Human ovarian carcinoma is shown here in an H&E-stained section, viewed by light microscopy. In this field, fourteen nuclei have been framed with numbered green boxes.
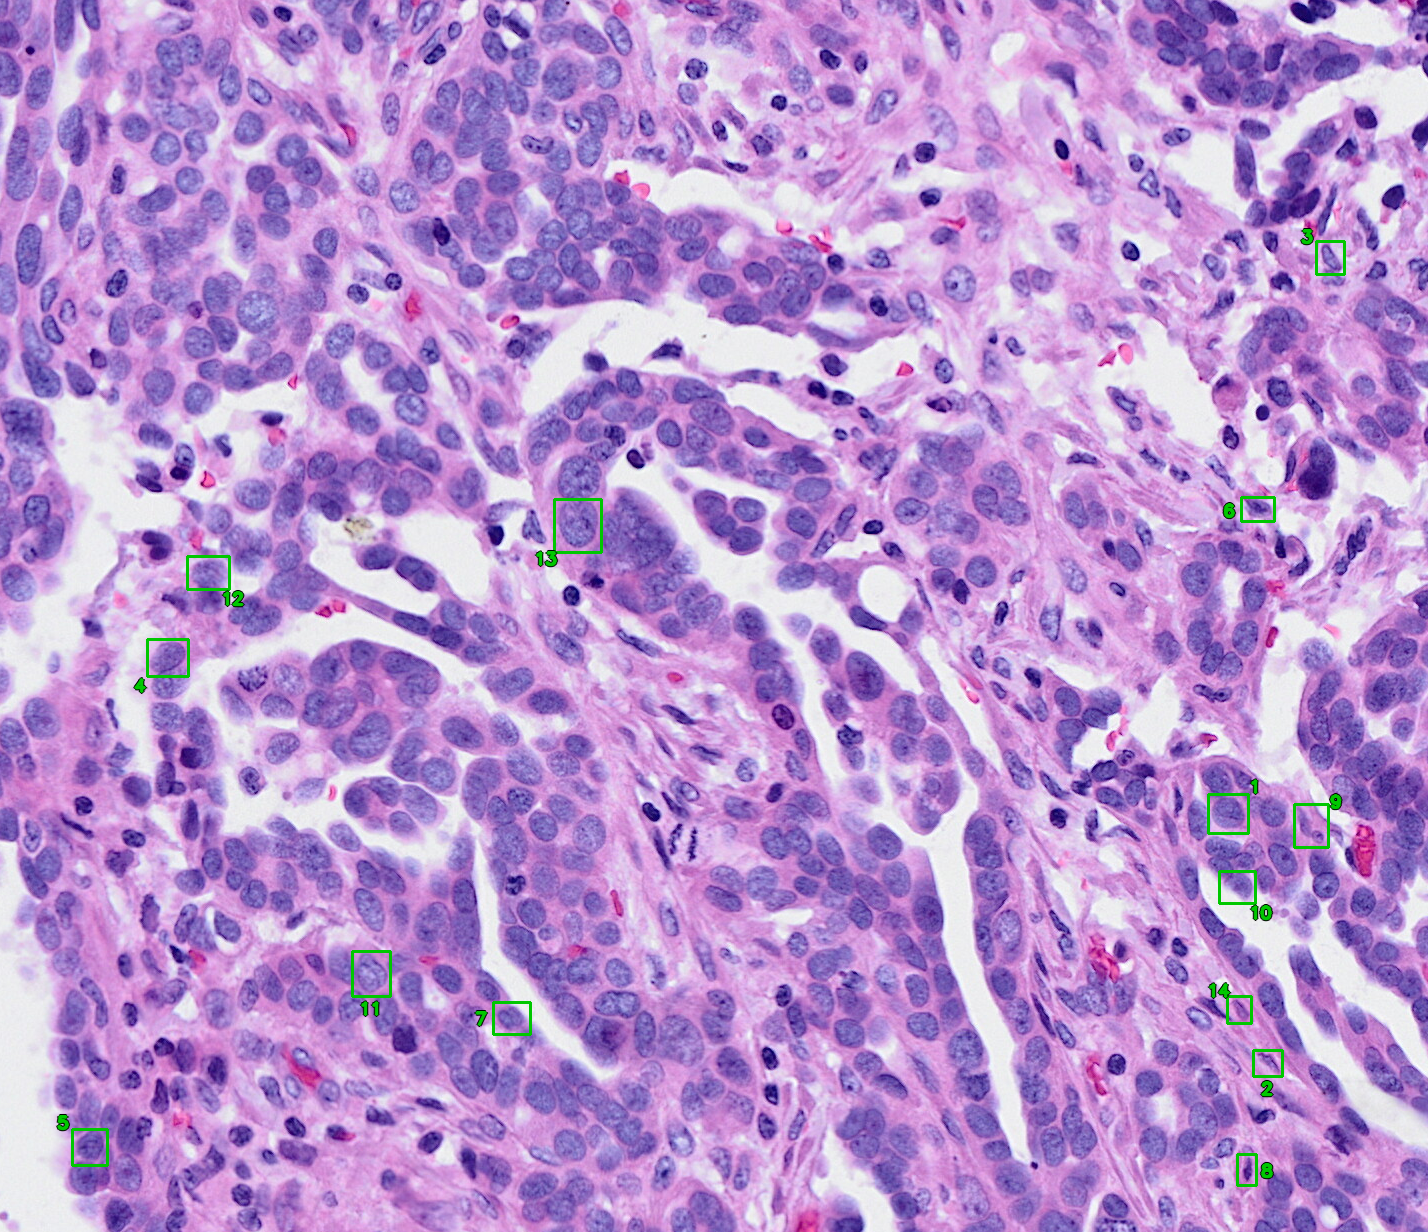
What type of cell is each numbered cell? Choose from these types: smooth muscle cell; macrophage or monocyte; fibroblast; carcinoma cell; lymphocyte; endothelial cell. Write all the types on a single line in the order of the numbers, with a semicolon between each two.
carcinoma cell; fibroblast; fibroblast; carcinoma cell; carcinoma cell; fibroblast; carcinoma cell; fibroblast; macrophage or monocyte; carcinoma cell; carcinoma cell; carcinoma cell; carcinoma cell; fibroblast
